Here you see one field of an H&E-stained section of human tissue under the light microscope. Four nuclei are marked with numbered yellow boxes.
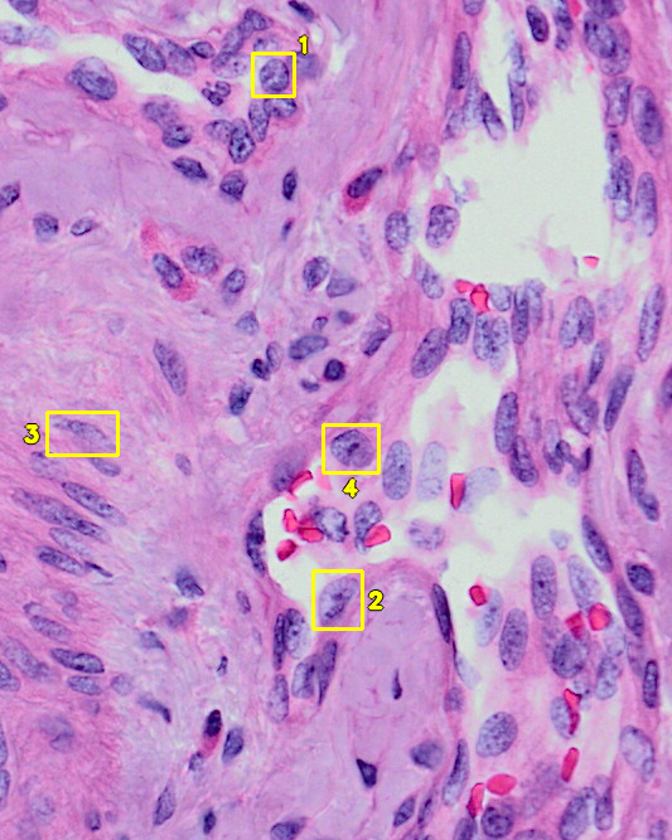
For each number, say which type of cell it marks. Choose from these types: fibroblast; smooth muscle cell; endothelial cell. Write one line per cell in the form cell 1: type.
cell 1: endothelial cell
cell 2: endothelial cell
cell 3: smooth muscle cell
cell 4: endothelial cell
